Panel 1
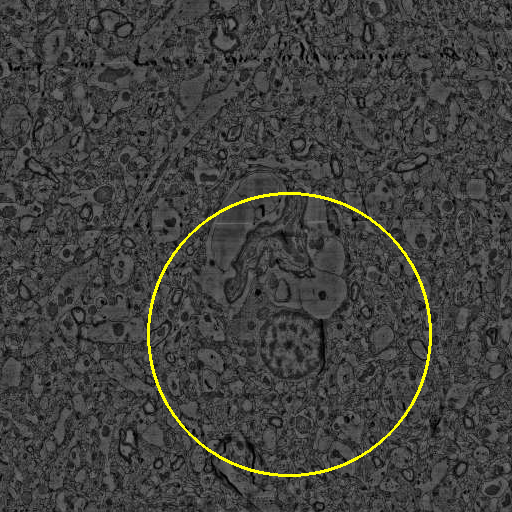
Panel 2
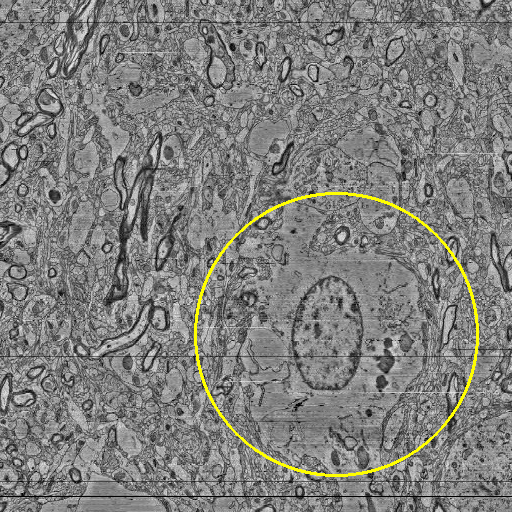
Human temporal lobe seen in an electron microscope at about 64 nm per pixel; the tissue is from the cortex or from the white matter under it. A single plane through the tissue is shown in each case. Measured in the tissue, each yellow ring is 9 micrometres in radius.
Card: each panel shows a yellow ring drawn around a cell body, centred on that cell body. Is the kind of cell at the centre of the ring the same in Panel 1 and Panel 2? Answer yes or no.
no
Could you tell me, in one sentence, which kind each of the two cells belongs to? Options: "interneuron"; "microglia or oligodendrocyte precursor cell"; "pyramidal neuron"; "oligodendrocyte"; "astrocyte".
At the centre of the first ring sits an oligodendrocyte, and at the centre of the second sits an astrocyte.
